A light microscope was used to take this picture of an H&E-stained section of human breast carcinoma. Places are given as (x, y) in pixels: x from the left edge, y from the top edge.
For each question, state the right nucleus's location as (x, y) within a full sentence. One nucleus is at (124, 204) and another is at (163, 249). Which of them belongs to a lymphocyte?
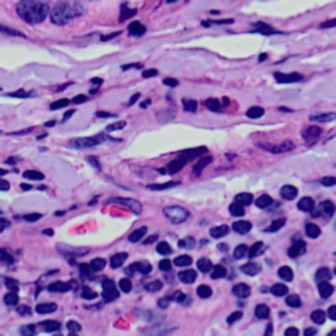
Of the two nuclei, it is the one at (163, 249) that lies within a lymphocyte.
